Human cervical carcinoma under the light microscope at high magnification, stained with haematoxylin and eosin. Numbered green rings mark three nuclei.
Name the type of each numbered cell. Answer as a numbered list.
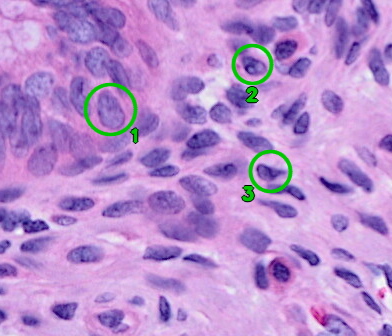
1. secretory epithelial cell
2. endothelial cell
3. fibroblast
